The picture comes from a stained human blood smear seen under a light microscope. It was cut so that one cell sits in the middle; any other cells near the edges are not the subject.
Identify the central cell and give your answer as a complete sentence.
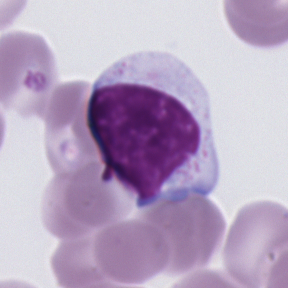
The cell around which this crop is centred is a large granular lymphocyte.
